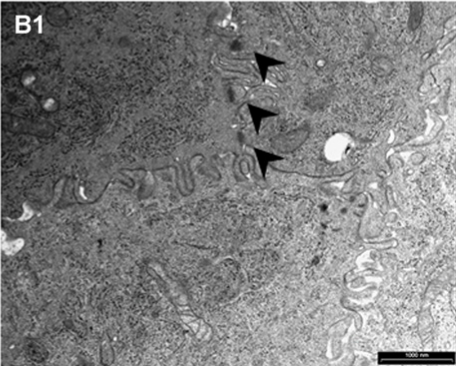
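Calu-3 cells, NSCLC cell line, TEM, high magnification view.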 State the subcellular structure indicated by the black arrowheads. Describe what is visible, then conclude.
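The arrowheads point at dense contacts along a folded membrane boundary between two neighbouring cells. The membranes of the two cells run closely together in interlocking folds.
Conclusion: adherence junctions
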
